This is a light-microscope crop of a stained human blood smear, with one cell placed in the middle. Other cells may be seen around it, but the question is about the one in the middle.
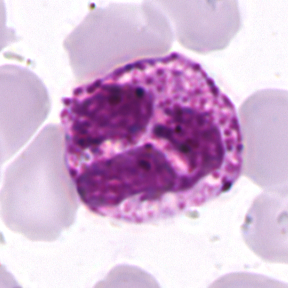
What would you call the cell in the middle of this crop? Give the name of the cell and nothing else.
basophil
